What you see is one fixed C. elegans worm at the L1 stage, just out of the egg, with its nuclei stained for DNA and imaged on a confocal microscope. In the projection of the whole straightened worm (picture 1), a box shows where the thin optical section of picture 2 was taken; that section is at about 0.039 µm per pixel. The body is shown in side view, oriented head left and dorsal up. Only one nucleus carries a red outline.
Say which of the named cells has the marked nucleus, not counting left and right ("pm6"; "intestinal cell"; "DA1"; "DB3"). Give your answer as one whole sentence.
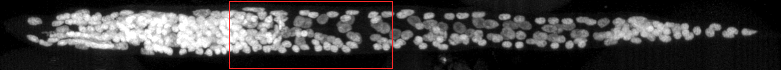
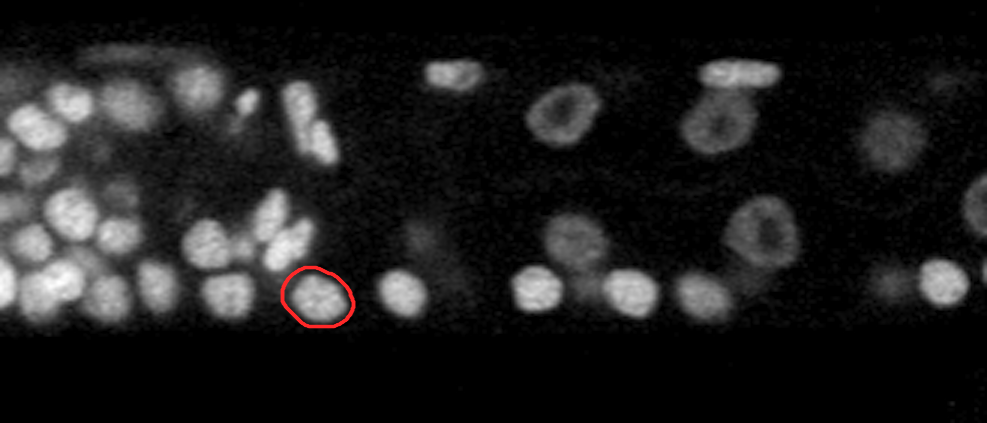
It belongs to DB3, a neuron.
